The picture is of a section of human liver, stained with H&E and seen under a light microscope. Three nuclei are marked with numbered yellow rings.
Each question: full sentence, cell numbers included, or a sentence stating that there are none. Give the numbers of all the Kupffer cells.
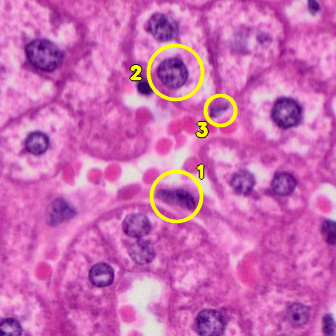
Only the cell with the number 1 is a Kupffer cell.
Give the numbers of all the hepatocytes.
Cell 2 is a hepatocyte; every other numbered cell is something else.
